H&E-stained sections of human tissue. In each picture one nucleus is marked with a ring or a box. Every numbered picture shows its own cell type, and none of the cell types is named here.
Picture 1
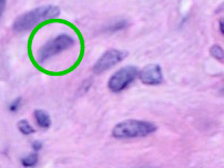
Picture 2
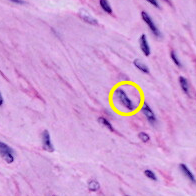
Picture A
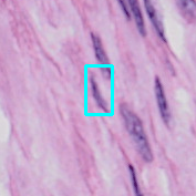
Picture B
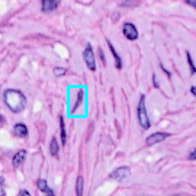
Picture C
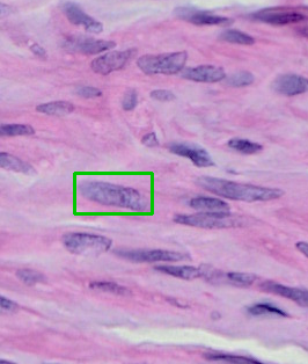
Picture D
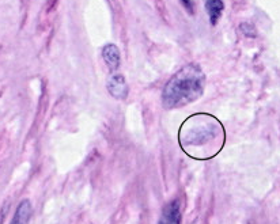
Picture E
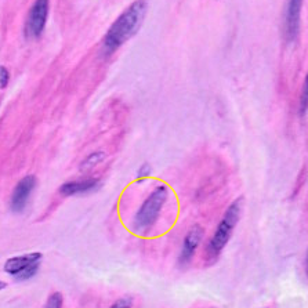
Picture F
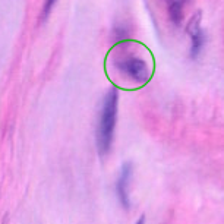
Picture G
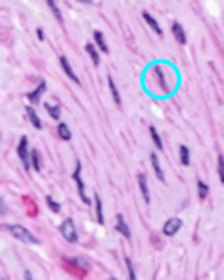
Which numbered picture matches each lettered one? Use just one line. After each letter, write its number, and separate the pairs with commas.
A 1, B 1, C 2, D 1, E 2, F 2, G 1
